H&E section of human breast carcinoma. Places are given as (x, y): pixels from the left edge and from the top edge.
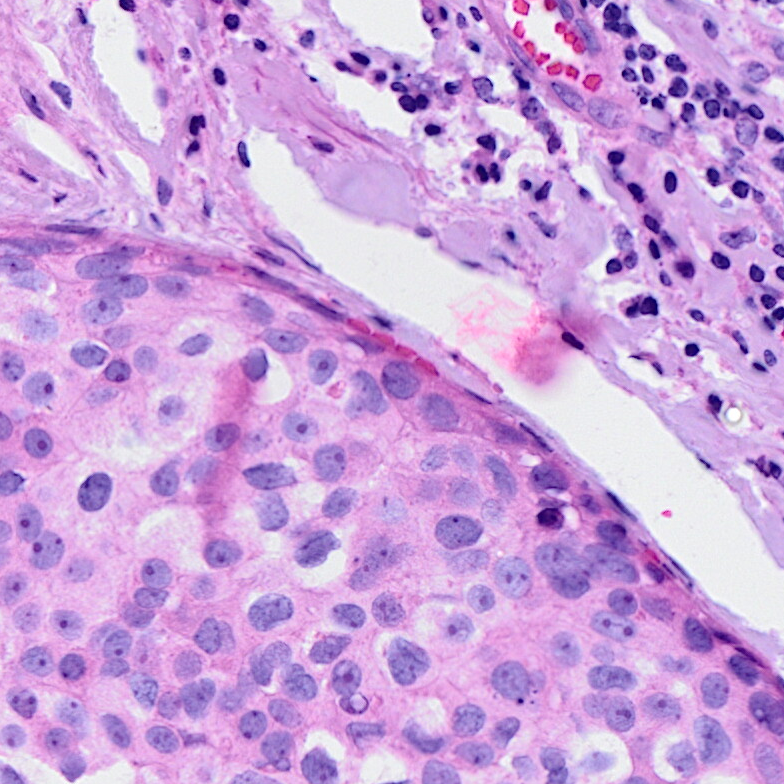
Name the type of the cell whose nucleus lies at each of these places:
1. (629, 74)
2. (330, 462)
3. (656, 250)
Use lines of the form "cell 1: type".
cell 1: lymphocyte
cell 2: carcinoma cell
cell 3: lymphocyte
